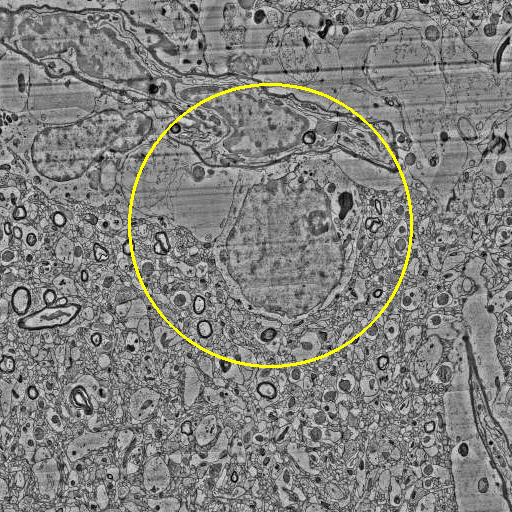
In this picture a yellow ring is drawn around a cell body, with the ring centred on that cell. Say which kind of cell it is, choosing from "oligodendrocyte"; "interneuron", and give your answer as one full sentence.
Here it is an interneuron that sits at the centre of the drawn yellow ring.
